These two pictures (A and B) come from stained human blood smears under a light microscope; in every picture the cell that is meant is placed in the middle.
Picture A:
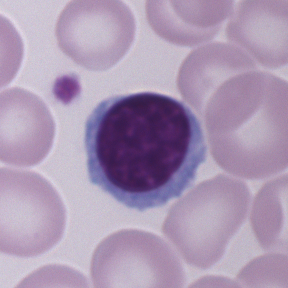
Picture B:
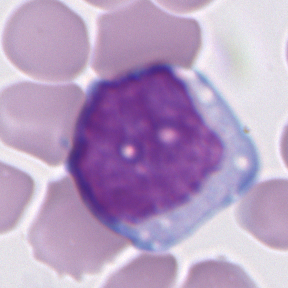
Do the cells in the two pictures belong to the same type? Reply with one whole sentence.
No, picture A shows a typical lymphocyte and picture B shows a myeloblast.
